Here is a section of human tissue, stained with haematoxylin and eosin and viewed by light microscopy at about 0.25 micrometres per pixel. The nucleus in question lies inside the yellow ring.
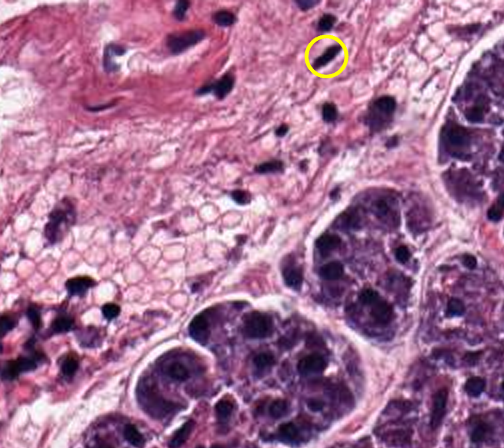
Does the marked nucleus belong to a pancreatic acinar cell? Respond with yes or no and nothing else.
no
